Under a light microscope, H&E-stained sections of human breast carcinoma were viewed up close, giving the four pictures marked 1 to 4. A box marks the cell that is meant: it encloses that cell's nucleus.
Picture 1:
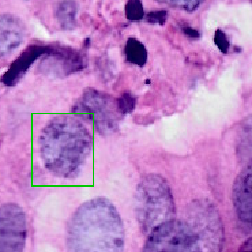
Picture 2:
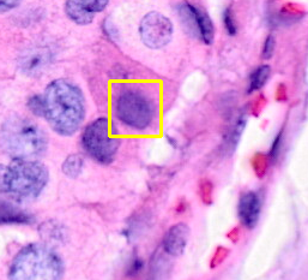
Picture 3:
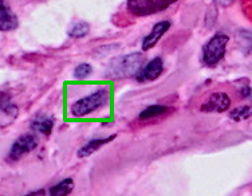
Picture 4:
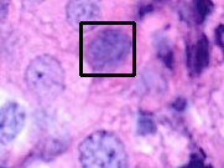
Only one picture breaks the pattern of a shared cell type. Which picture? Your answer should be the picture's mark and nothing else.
3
